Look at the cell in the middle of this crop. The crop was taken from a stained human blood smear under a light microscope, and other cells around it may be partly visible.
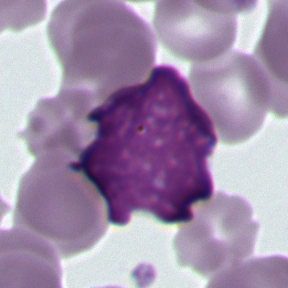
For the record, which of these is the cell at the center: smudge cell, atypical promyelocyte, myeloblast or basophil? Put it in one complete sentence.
The cell in the exact centre of the crop is a smudge cell.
